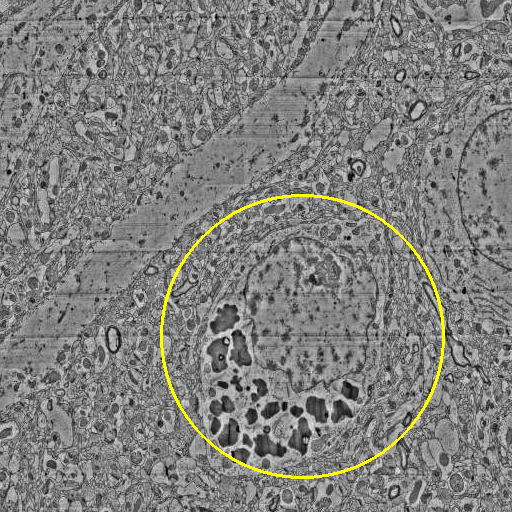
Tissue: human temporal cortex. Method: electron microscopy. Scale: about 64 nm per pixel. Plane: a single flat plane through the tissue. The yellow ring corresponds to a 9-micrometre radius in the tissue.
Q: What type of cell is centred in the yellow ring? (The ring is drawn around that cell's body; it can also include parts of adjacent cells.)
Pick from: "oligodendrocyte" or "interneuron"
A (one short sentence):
The yellow ring is centred on an interneuron.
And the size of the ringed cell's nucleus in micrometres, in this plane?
The nucleus appears about 9 micrometres across in this plane.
